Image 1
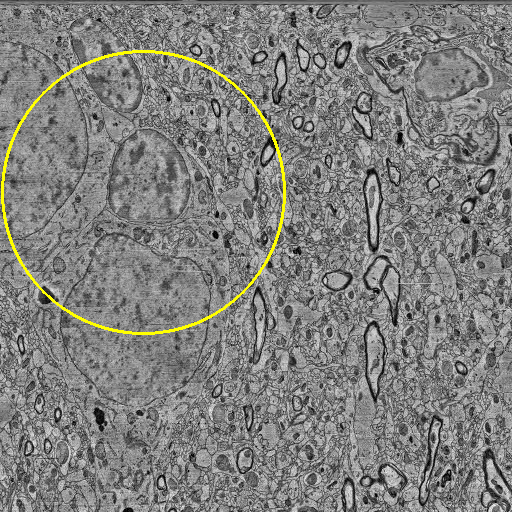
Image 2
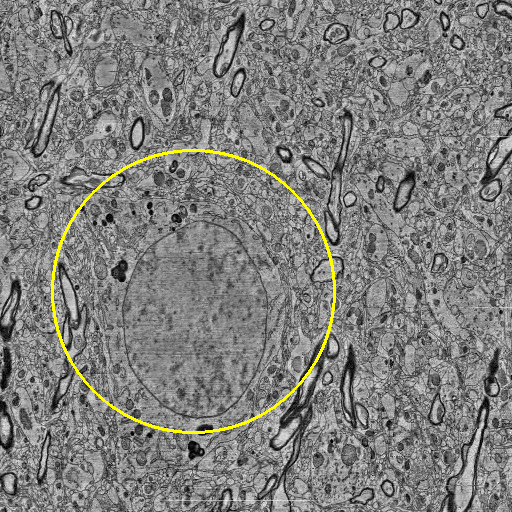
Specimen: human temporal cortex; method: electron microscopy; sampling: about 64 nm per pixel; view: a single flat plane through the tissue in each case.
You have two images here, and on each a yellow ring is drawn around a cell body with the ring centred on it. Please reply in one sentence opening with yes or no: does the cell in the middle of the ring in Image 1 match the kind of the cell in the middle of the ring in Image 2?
No, the two images show cells of two kinds at the centres of their rings.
